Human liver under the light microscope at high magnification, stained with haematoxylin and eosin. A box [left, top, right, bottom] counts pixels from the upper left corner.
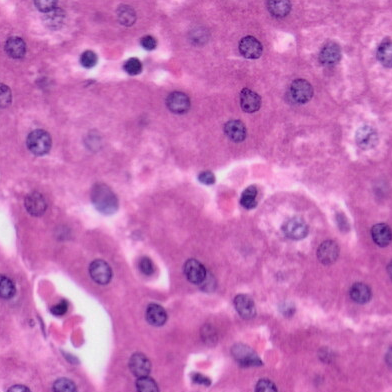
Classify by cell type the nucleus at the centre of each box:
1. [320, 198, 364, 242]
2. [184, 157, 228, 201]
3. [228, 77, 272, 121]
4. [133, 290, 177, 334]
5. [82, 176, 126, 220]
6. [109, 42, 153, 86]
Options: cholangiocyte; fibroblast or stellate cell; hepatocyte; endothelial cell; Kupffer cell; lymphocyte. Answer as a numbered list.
1. Kupffer cell
2. lymphocyte
3. hepatocyte
4. hepatocyte
5. endothelial cell
6. lymphocyte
